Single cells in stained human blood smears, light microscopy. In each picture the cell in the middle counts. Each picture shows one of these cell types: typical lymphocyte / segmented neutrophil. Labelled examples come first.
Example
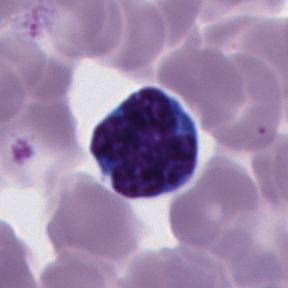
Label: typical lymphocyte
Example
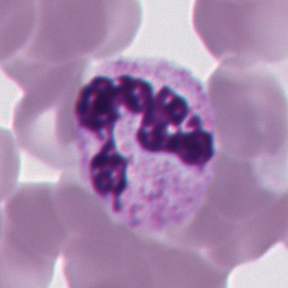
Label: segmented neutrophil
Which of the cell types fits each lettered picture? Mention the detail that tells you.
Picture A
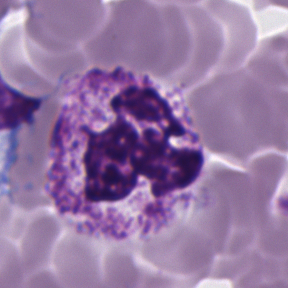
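segmented neutrophil. Evidence: The nucleus is irregular and divided into lobes by deep indentations.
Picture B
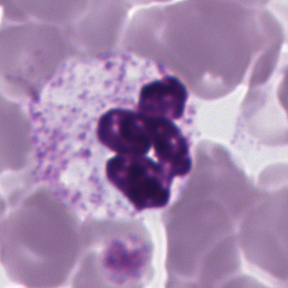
segmented neutrophil. Evidence: The cytoplasm is abundant and very pale.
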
